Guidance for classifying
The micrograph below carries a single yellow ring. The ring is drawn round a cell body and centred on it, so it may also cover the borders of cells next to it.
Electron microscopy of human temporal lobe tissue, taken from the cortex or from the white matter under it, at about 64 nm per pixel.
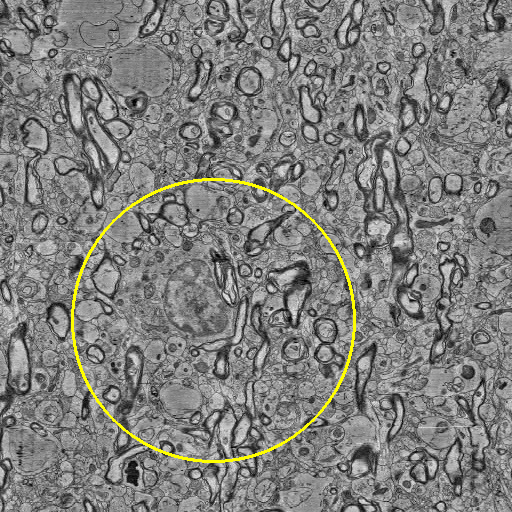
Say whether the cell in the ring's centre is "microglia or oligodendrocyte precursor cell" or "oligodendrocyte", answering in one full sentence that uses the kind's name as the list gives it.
Within the yellow ring, an oligodendrocyte is the cell whose body sits at the centre.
